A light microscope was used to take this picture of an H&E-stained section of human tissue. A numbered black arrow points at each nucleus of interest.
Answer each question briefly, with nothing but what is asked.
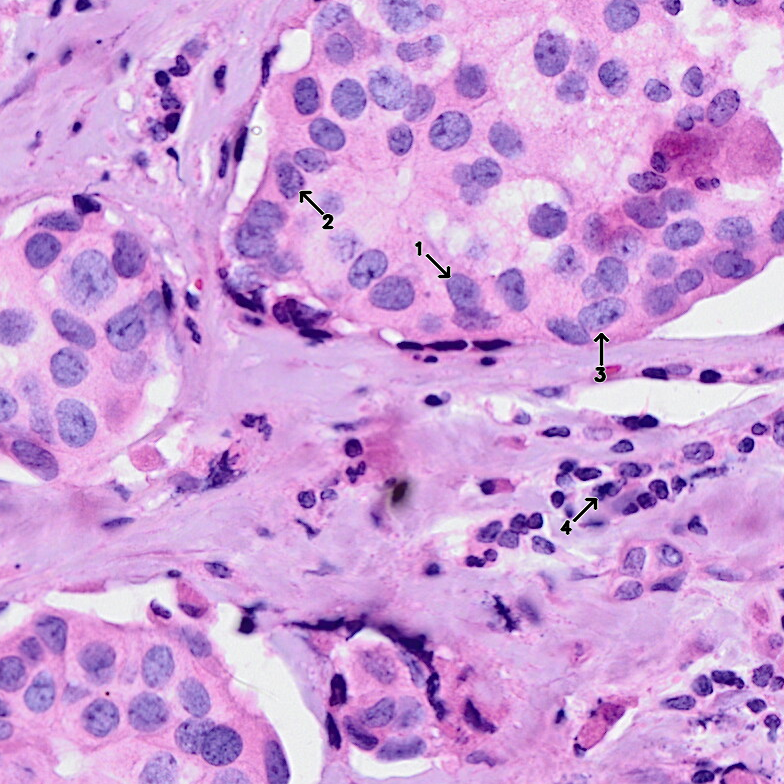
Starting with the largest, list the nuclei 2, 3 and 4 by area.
3, 2, 4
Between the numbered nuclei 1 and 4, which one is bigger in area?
1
